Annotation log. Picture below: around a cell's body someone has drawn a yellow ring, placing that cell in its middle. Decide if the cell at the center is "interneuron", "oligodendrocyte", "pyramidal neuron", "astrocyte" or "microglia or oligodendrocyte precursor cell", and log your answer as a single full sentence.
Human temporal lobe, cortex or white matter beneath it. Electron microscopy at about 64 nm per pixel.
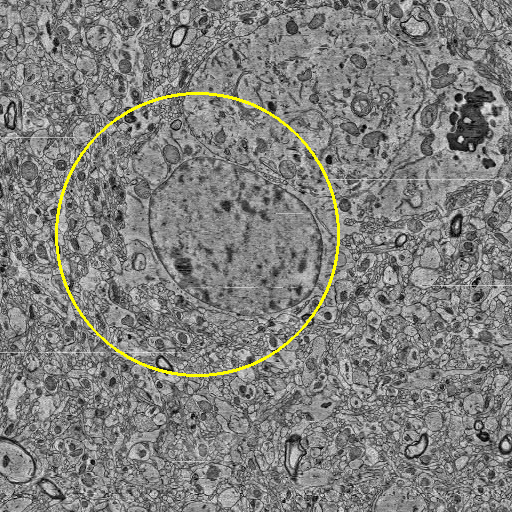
My entry records an astrocyte as the cell sitting at the center of the yellow ring.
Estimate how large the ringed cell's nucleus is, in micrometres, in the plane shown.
The nucleus of the ringed cell is approximately 12 by 9 micrometres in this plane.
